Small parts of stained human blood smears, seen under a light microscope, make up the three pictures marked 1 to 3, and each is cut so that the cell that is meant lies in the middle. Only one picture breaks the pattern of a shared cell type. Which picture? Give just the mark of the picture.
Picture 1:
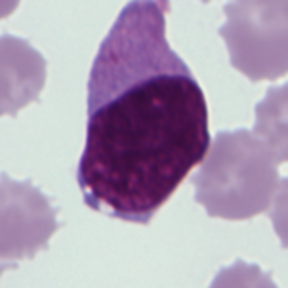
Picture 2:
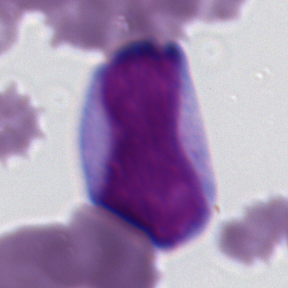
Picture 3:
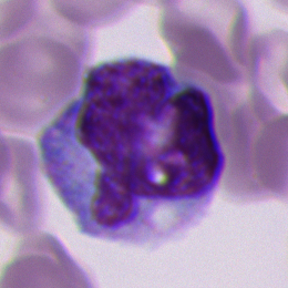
3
